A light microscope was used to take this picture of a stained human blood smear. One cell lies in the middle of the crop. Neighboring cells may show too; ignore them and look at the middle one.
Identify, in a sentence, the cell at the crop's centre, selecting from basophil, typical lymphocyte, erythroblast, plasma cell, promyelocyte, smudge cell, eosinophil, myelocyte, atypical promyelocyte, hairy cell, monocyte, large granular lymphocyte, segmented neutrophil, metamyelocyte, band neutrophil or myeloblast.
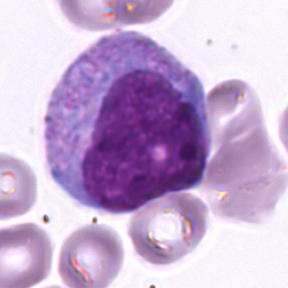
To answer, the cell in the center of the crop is a promyelocyte.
